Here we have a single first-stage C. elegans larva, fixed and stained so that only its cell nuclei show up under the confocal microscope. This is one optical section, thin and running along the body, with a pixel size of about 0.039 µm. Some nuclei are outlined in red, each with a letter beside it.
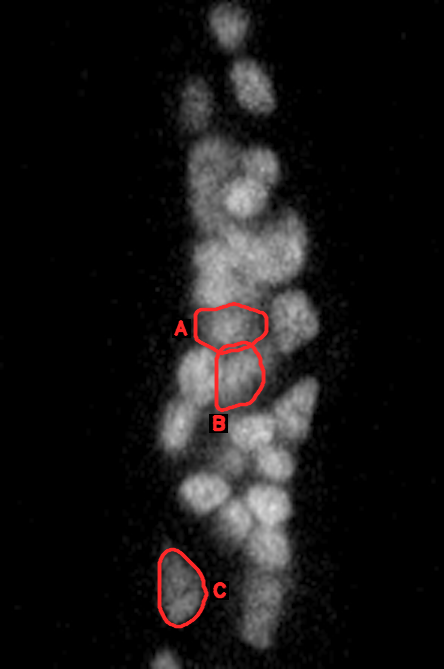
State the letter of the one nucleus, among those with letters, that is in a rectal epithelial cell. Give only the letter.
B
